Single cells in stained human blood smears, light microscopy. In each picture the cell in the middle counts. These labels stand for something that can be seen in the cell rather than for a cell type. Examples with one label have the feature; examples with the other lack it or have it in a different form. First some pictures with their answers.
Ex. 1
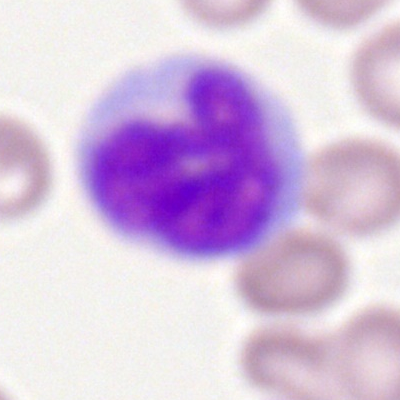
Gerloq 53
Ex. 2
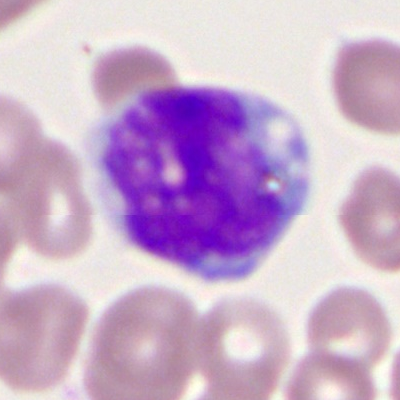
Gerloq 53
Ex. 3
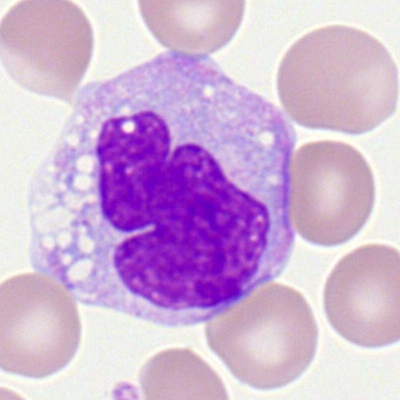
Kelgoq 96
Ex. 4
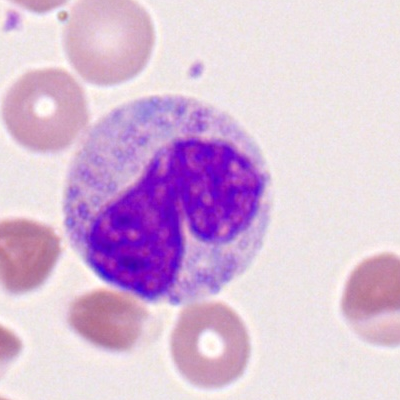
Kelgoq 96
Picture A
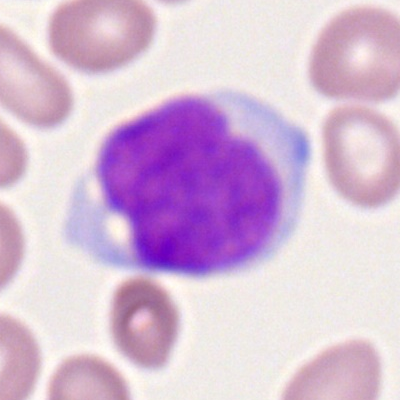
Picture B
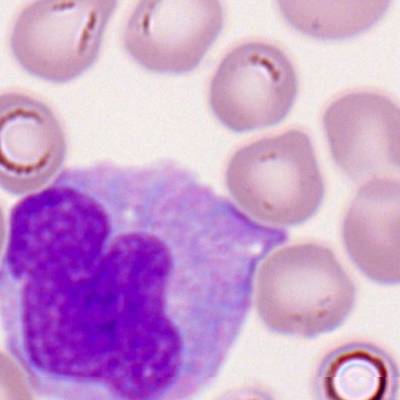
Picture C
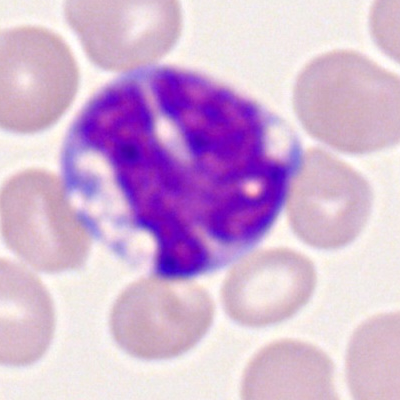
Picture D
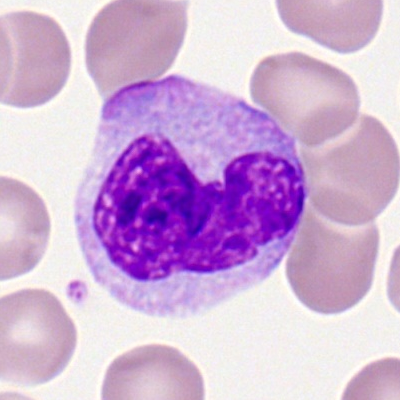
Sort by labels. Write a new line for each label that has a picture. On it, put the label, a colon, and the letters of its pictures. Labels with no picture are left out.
Gerloq 53: A, C
Kelgoq 96: B, D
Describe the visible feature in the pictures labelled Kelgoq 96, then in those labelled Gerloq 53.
Kelgoq 96, abundant cytoplasm; Gerloq 53, scant cytoplasm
